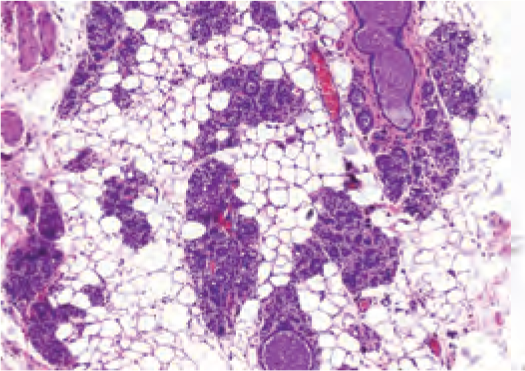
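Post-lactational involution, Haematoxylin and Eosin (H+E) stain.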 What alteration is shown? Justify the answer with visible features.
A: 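Large clear empty vacuolated cells fill much of the field. Purple epithelial clusters are small and separated by the clear fat cells. That points to this answer: adipocyte repopulation.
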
